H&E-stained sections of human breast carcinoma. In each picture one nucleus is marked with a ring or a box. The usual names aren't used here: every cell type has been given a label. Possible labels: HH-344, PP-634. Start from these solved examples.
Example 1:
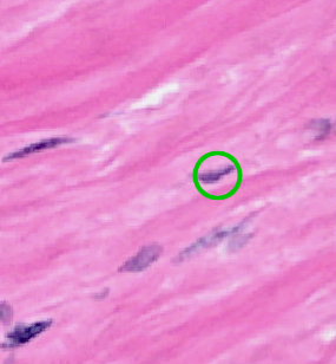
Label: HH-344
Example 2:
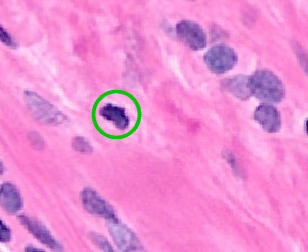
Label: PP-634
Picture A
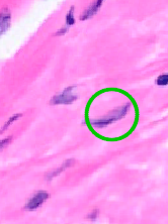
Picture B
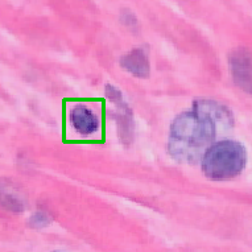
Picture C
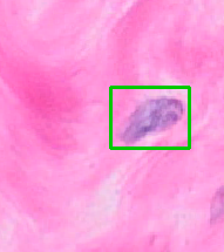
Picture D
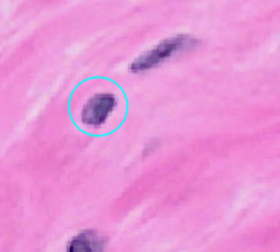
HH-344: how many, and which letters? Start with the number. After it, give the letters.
2: A, C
